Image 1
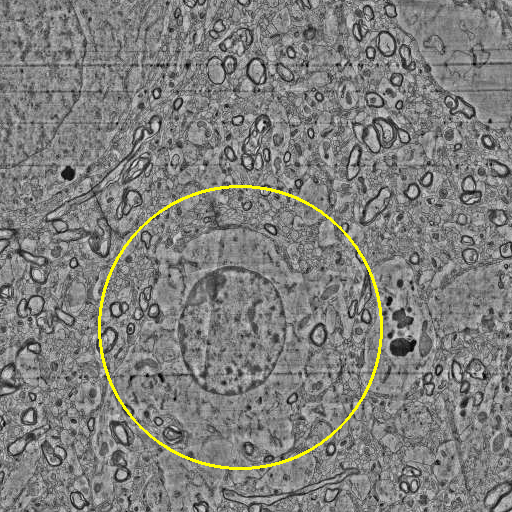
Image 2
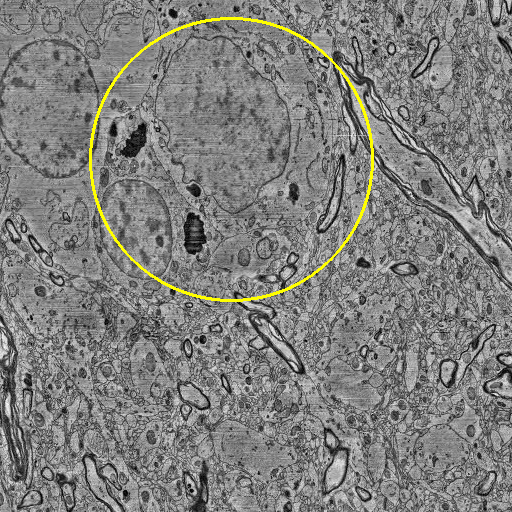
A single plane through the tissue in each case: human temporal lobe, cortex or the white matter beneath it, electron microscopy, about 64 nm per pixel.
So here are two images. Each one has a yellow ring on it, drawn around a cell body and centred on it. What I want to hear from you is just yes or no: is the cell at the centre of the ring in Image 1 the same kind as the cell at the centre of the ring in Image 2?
no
